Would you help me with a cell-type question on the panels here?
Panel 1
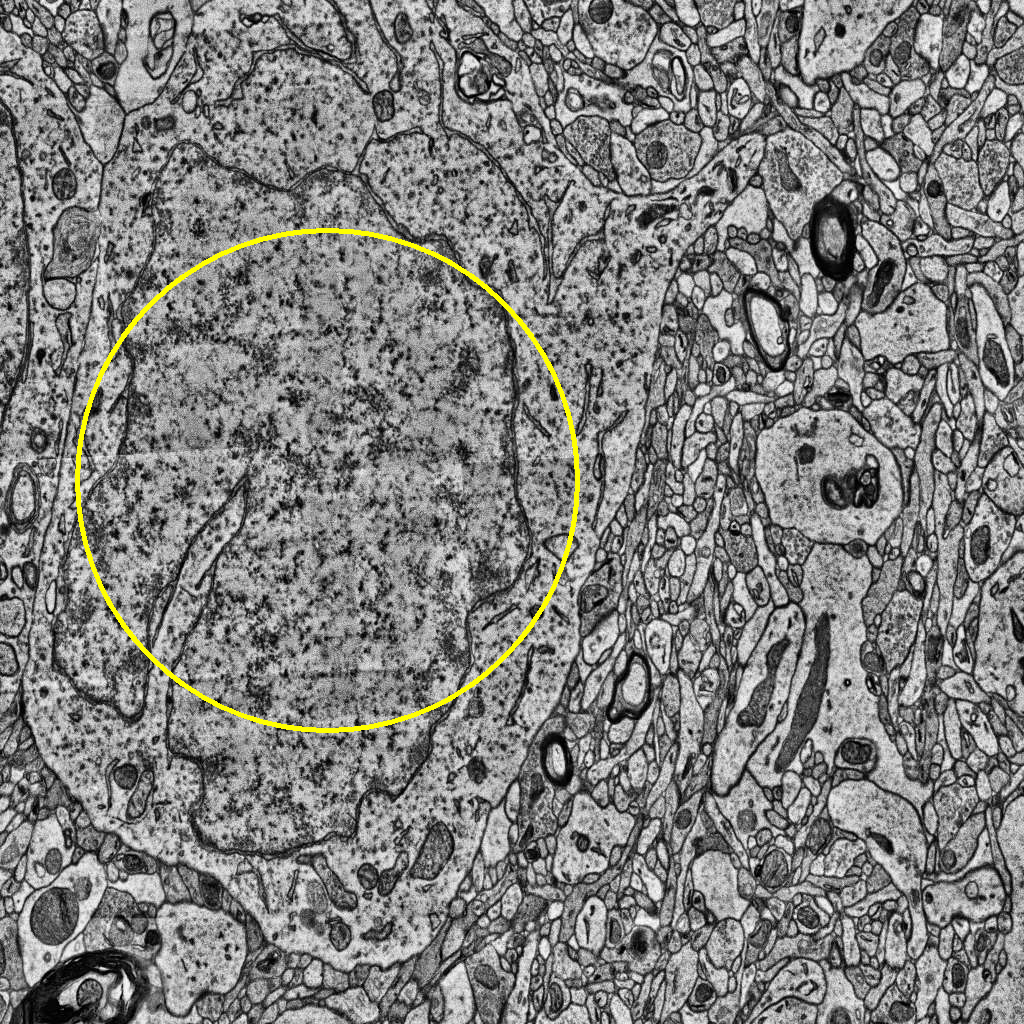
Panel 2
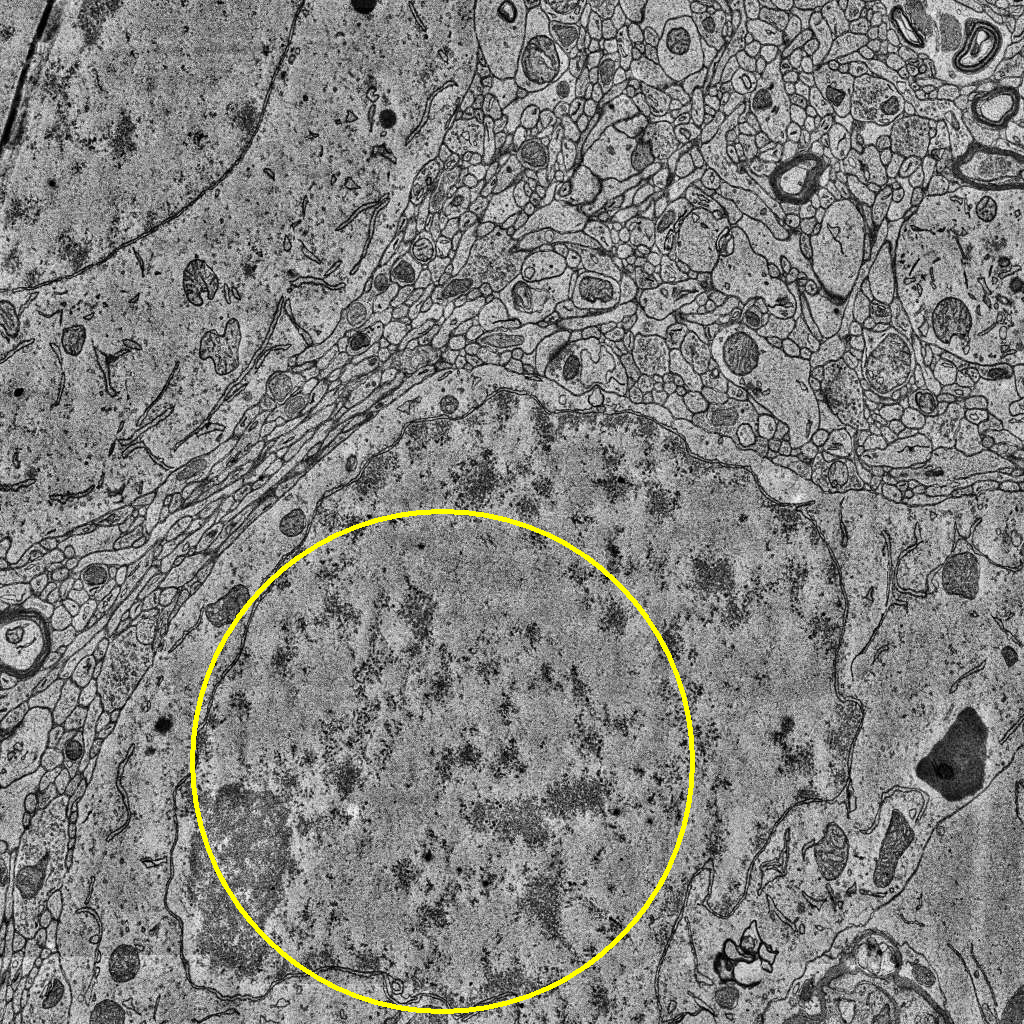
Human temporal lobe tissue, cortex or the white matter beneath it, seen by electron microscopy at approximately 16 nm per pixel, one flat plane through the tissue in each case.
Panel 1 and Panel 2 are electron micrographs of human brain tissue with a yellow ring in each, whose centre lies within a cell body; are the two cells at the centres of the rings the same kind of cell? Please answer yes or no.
yes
